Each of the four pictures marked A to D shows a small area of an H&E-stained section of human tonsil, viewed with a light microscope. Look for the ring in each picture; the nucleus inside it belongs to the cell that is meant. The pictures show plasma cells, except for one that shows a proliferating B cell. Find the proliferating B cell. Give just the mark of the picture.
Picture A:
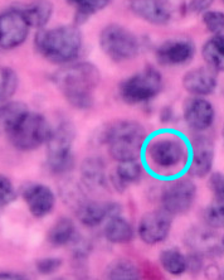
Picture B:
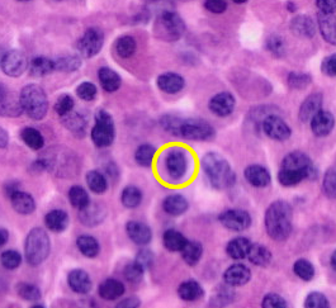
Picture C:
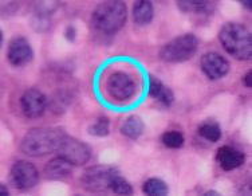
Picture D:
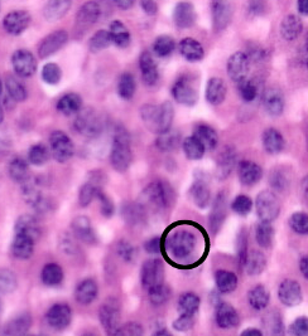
A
